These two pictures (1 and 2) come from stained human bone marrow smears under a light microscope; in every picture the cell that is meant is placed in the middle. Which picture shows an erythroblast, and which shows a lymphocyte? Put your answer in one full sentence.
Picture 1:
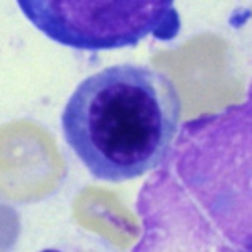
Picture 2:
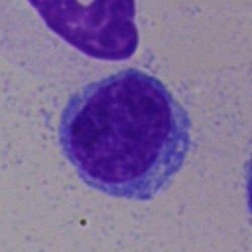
It is picture 1 that shows an erythroblast, and picture 2 that shows a lymphocyte.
